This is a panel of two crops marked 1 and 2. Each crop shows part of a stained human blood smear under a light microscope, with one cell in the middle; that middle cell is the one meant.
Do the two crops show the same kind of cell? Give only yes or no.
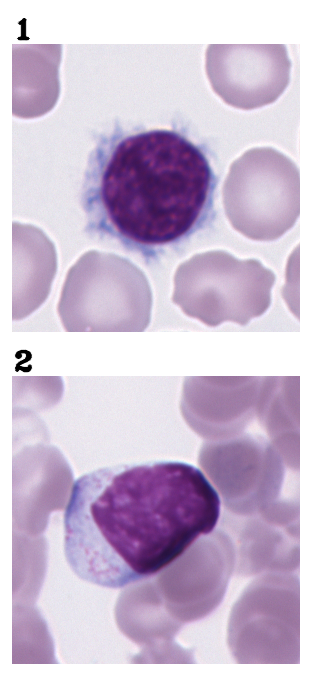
no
